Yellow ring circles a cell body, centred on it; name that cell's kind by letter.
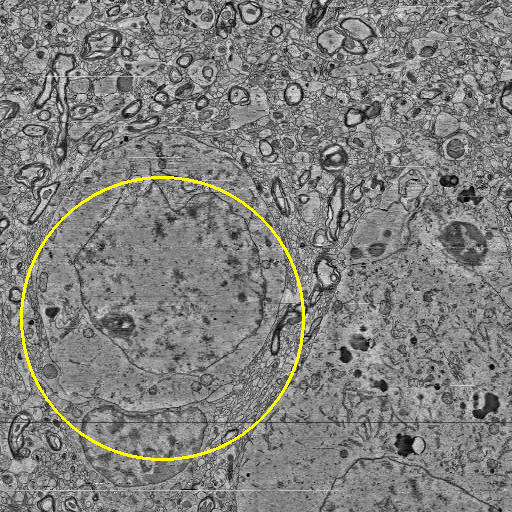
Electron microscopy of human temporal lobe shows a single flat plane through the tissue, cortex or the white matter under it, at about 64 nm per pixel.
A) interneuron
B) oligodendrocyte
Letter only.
A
